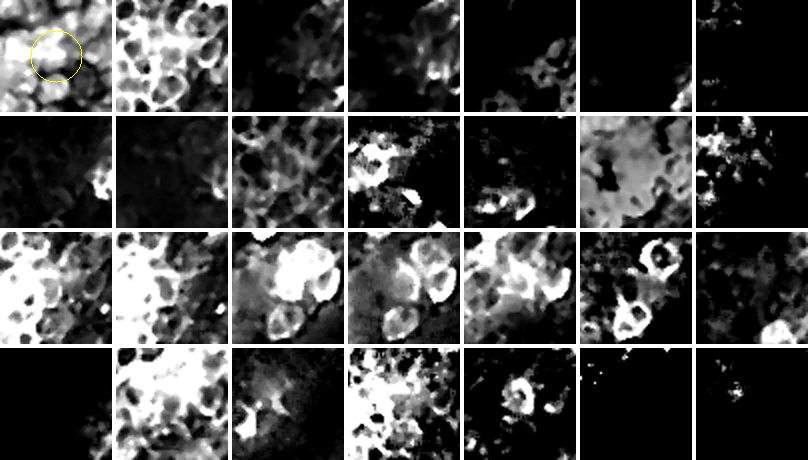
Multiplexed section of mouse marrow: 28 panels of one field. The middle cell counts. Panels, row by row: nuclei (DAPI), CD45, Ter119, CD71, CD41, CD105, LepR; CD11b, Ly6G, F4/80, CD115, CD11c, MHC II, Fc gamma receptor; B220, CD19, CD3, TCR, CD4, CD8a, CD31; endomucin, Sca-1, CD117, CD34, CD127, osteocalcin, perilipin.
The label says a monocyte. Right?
Wrong: this is an erythroid progenitor (CFU-E).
